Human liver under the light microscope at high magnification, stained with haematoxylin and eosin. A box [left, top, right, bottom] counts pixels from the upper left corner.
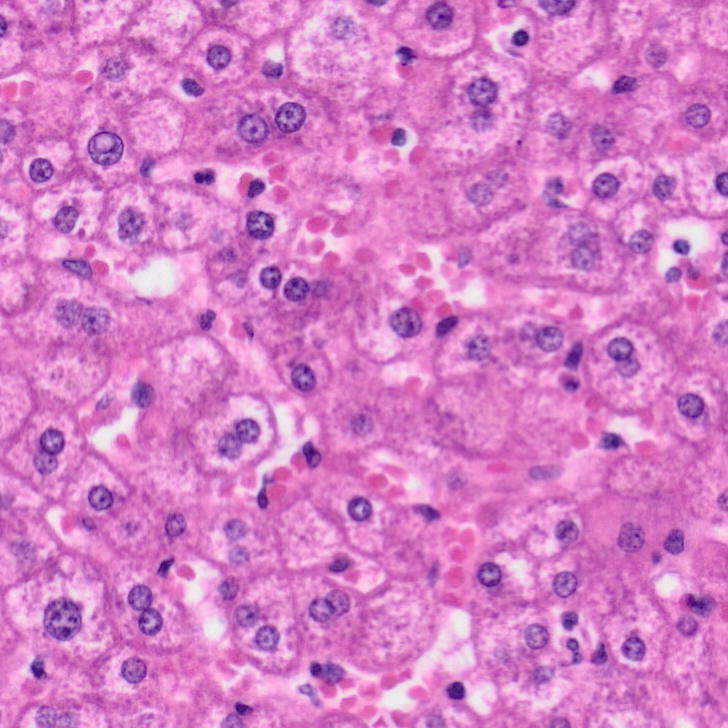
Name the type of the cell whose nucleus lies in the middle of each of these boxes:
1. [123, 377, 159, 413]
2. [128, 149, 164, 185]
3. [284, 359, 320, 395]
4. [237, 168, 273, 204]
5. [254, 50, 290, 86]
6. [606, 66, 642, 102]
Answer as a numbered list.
1. endothelial cell
2. endothelial cell
3. hepatocyte
4. lymphocyte
5. endothelial cell
6. fibroblast or stellate cell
